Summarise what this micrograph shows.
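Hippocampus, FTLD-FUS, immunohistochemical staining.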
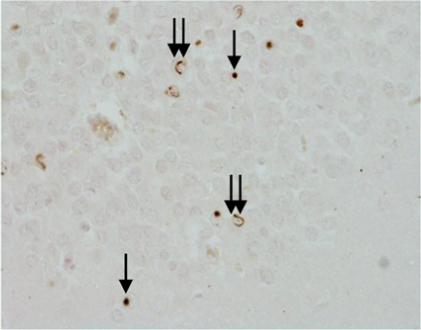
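The granule cell layer of the dentate fascia shows closely packed round nuclei that are almost unstained. A few cells contain small dense brown round bodies beside the nucleus, the neuronal cytoplasmic inclusions. Others show brown ring- or crescent-shaped intranuclear inclusions lying within the nuclear outline. The inclusions are sparse against an otherwise pale background.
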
